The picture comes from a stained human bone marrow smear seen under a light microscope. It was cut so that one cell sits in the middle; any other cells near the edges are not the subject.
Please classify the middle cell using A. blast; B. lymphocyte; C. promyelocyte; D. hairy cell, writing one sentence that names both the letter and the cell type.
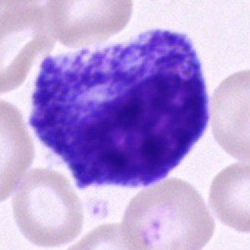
Correctly, option C names the cell in the middle a promyelocyte.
